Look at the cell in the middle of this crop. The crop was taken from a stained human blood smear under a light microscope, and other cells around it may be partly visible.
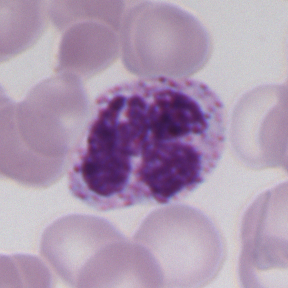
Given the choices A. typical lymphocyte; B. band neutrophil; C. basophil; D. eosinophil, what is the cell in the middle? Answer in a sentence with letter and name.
Option C is correct in that the central cell is a basophil.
